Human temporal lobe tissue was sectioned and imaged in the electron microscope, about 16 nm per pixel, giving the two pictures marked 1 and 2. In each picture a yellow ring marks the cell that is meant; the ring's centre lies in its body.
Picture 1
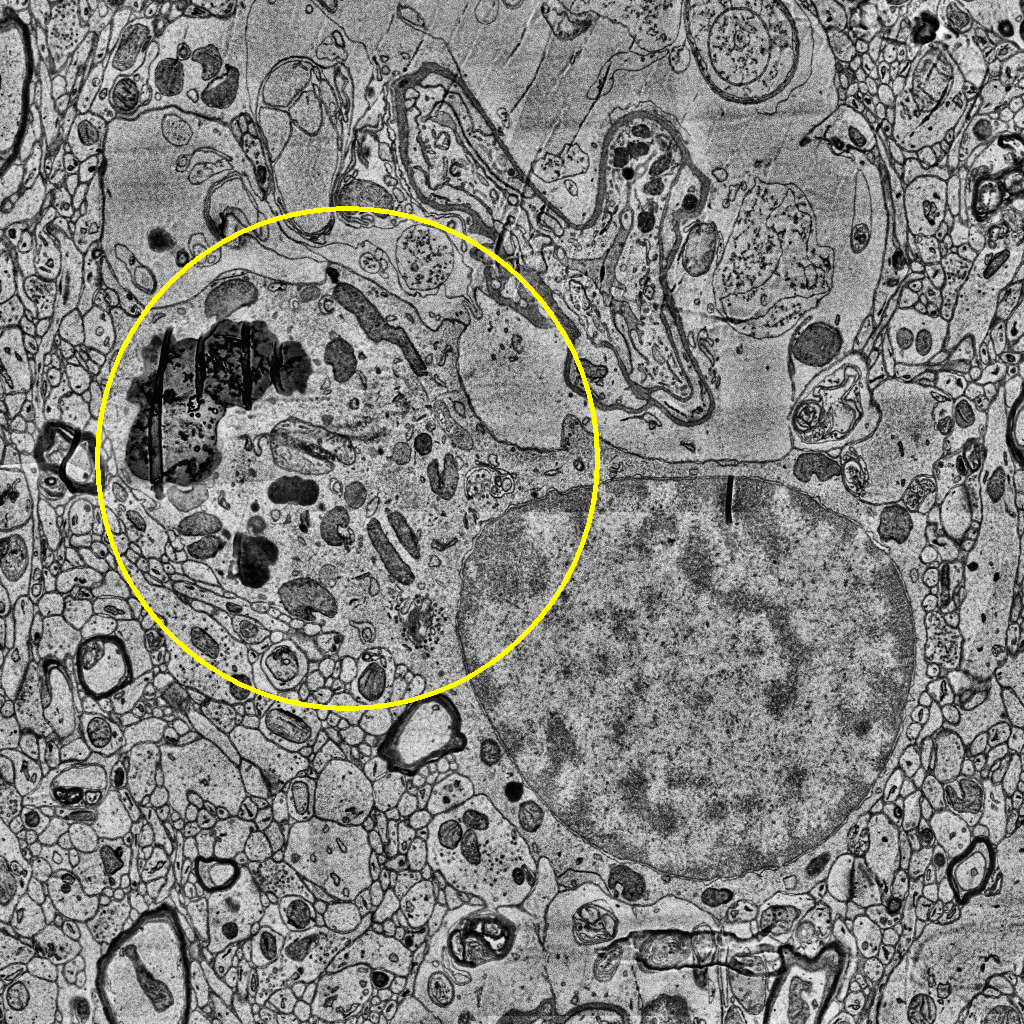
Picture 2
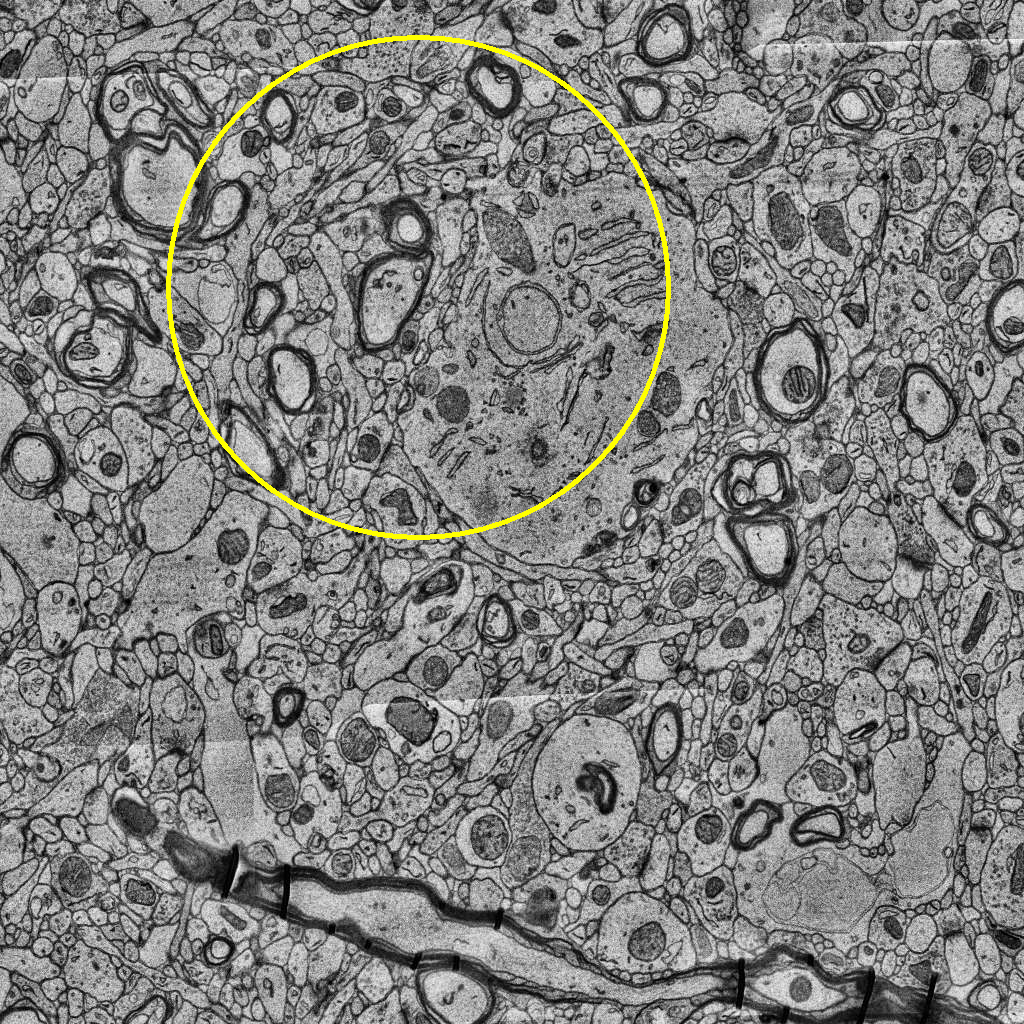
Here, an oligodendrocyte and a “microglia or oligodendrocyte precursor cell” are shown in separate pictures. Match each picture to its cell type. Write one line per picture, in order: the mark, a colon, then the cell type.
1: oligodendrocyte
2: microglia or oligodendrocyte precursor cell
